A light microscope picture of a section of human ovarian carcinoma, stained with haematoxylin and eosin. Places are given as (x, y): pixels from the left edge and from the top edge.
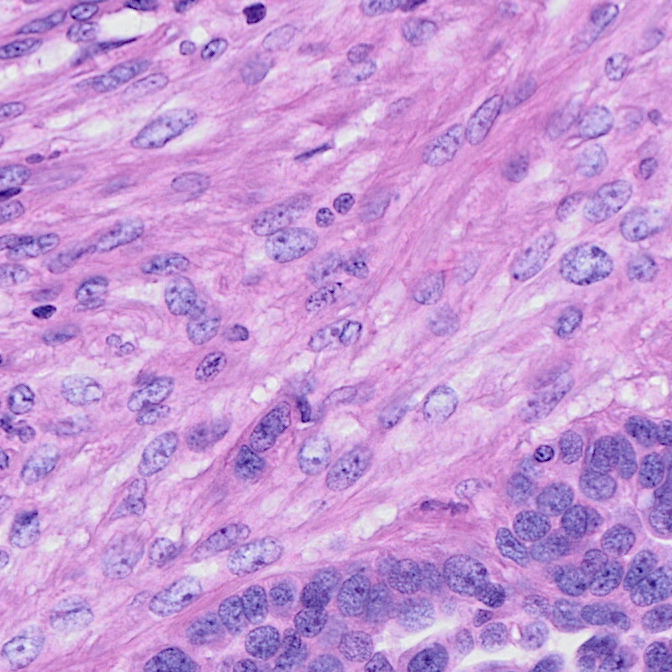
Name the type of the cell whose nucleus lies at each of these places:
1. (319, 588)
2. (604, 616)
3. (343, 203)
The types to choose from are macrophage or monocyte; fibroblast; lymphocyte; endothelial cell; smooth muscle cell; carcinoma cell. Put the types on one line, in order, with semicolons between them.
carcinoma cell; carcinoma cell; lymphocyte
